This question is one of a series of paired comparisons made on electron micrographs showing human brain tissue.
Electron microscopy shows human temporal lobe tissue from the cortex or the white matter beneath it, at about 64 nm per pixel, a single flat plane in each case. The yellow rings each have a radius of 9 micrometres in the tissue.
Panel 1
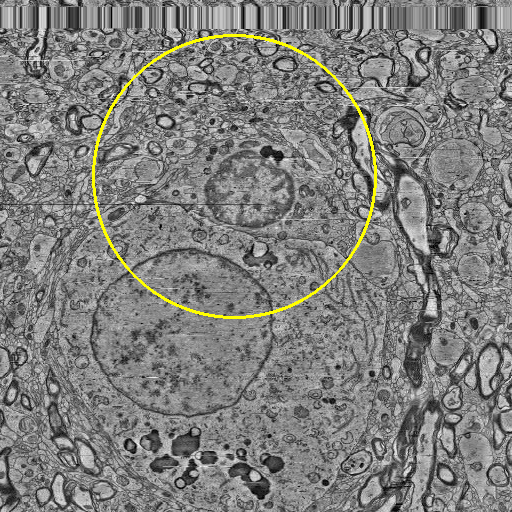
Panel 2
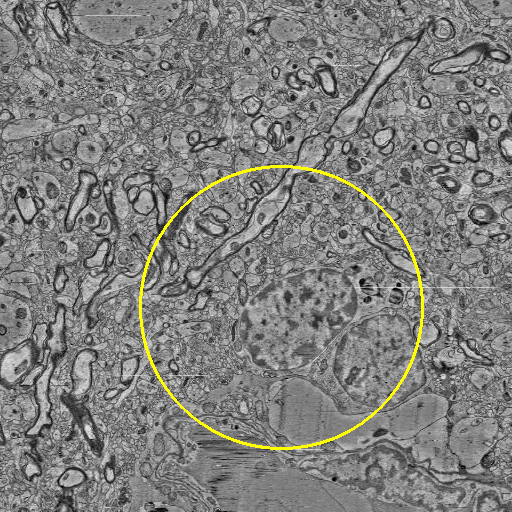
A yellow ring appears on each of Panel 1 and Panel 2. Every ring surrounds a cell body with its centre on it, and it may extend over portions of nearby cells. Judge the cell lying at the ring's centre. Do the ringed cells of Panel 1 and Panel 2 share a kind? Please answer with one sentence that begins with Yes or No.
No, the ring-centre cell in Panel 1 and the one in Panel 2 are of two kinds.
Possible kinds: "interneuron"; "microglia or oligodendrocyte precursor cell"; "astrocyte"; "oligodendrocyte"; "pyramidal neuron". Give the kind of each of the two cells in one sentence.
The cell in the second picture is a microglial cell or oligodendrocyte precursor cell, and that in the first is an oligodendrocyte.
